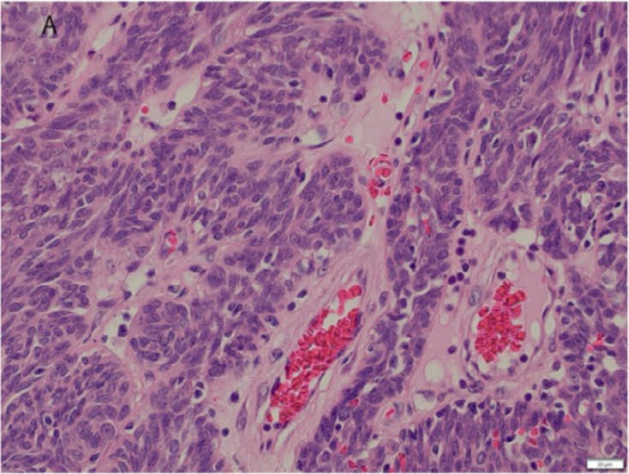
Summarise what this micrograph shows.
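This is a densely cellular tumor made of spindle-shaped tumor cells with elongated to oval purple nuclei and scant cytoplasm. The cells are crowded into nests and streaming clusters of varying size. Between the nests run bands of pale pink fibrous stroma. Within the stroma lie thin-walled blood vessels packed with red blood cells, and a few small dark round cells.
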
